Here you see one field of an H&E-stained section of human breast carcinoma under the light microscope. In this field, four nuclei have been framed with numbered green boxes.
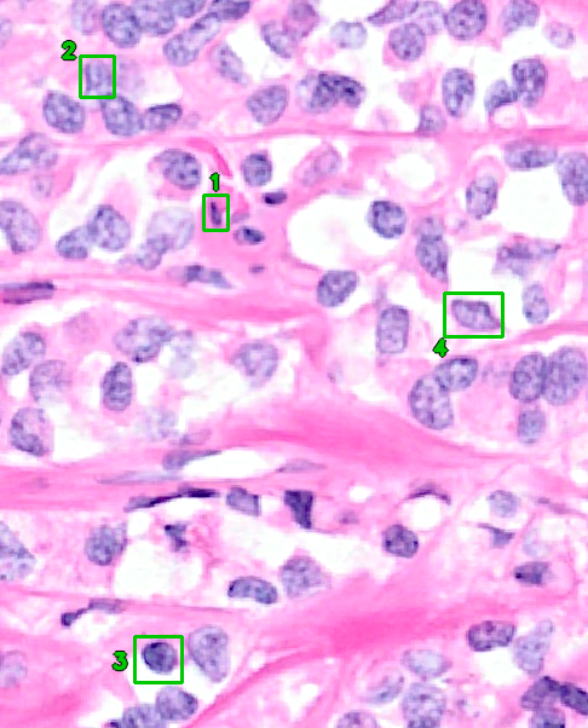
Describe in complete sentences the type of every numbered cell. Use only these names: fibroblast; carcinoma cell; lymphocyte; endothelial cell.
Cell 1 is an endothelial cell, cell 2 is a carcinoma cell, cell 3 is a carcinoma cell and cell 4 is a carcinoma cell.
